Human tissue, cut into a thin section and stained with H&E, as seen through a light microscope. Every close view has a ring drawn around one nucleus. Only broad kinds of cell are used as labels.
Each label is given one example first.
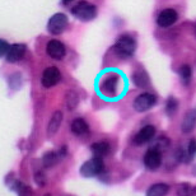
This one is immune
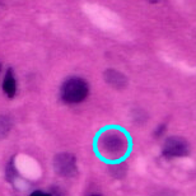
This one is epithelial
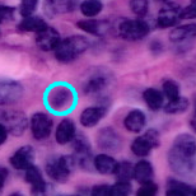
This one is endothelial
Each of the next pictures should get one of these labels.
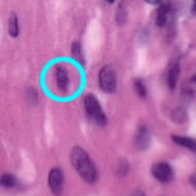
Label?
epithelial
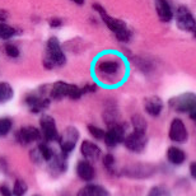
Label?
endothelial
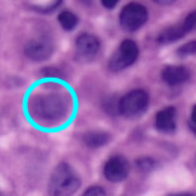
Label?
epithelial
